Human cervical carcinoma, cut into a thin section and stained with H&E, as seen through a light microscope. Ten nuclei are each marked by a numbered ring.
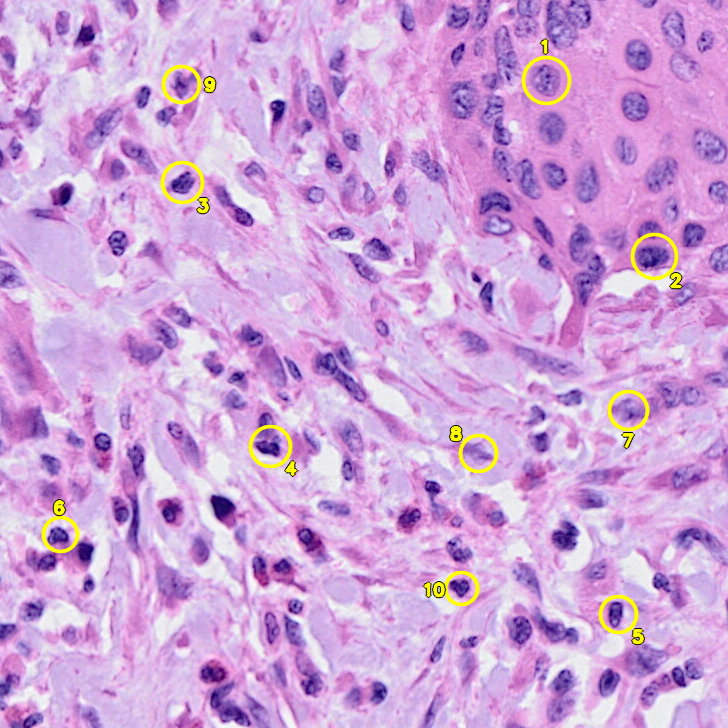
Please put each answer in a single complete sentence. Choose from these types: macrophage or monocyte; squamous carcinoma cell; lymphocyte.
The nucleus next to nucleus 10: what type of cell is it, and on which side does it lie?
The nearest one is a macrophage or monocyte, found above nucleus 10.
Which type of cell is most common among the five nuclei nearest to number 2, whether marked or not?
The majority of the five nuclei closest to number 2 belong to squamous carcinoma cells.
